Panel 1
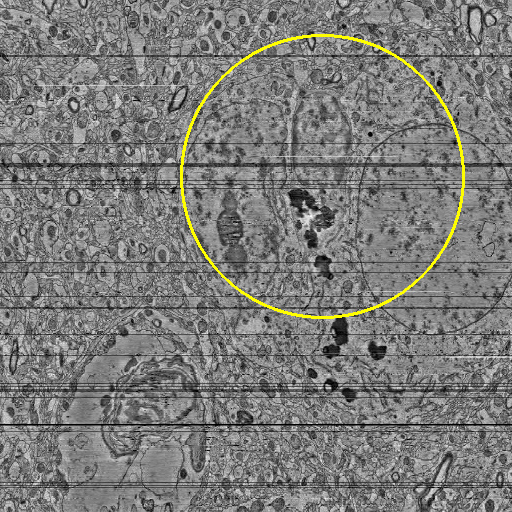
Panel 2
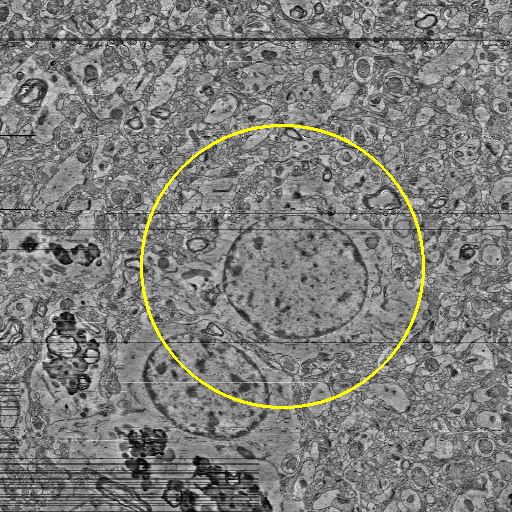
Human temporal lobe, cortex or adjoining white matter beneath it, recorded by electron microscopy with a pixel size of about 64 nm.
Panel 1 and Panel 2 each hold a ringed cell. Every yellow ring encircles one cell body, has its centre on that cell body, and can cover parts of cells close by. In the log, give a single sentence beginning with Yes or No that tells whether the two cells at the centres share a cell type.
No, in Panel 1 and Panel 2 the centred cells are of two cell types.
